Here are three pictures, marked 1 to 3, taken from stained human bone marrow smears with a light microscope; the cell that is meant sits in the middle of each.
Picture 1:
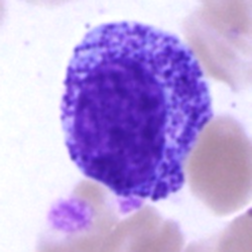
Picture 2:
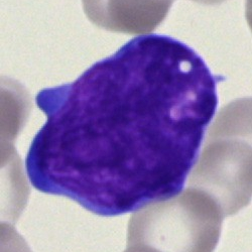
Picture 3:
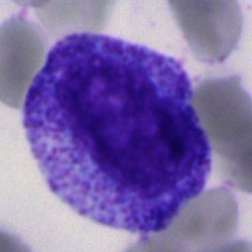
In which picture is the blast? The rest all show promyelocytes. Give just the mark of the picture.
2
